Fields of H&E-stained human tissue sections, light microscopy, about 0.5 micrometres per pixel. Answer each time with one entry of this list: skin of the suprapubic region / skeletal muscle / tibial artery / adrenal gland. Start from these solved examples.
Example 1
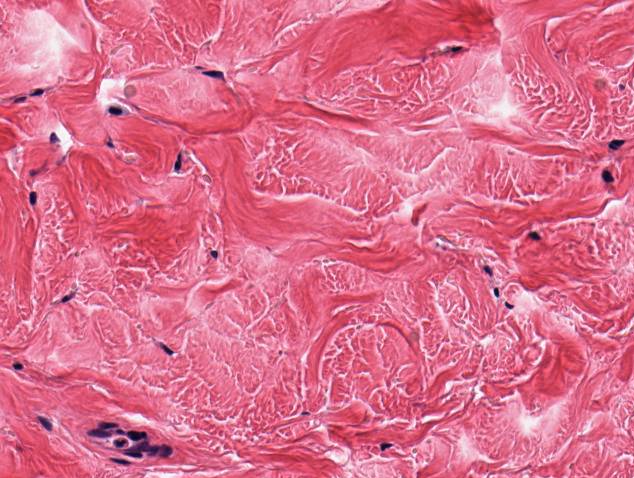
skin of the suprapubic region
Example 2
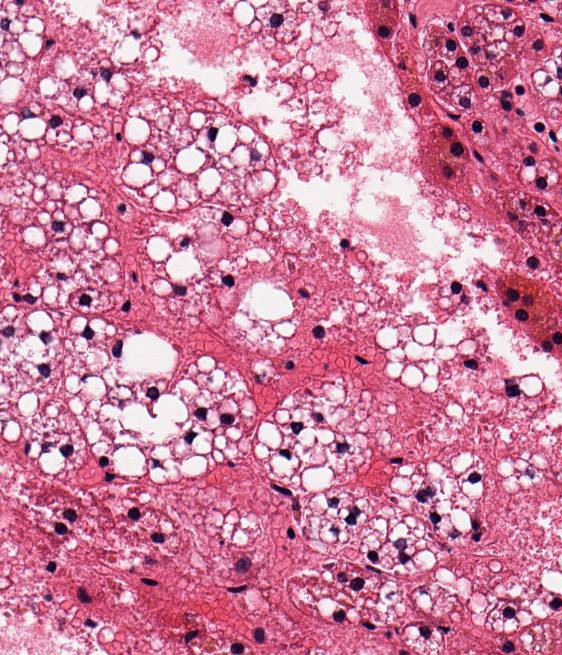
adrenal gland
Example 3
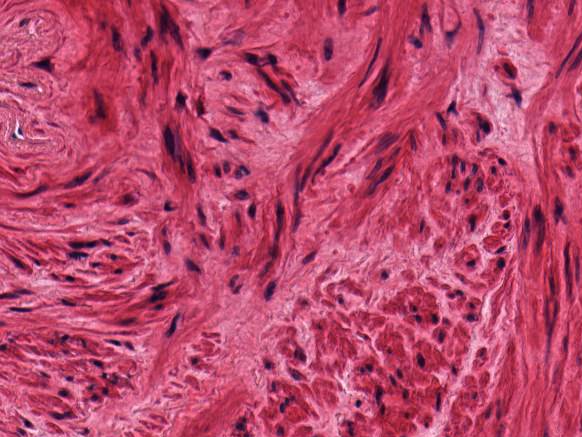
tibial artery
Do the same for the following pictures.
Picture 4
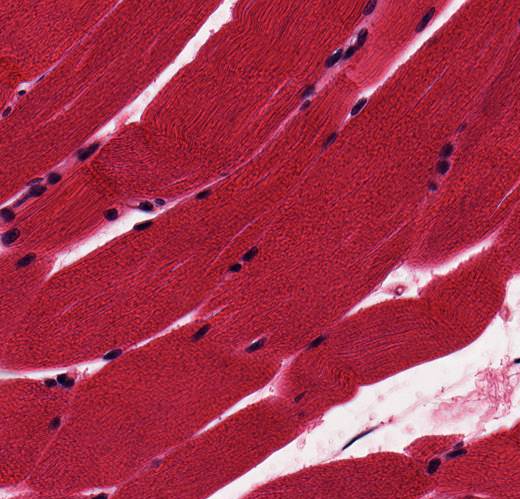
skeletal muscle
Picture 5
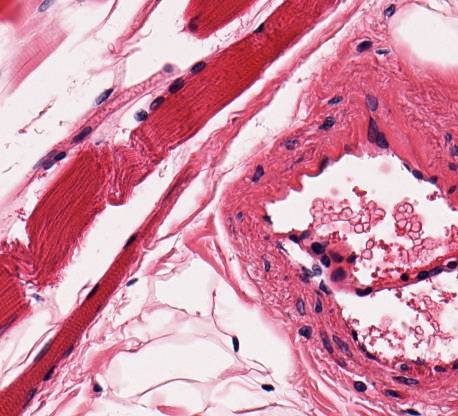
skeletal muscle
